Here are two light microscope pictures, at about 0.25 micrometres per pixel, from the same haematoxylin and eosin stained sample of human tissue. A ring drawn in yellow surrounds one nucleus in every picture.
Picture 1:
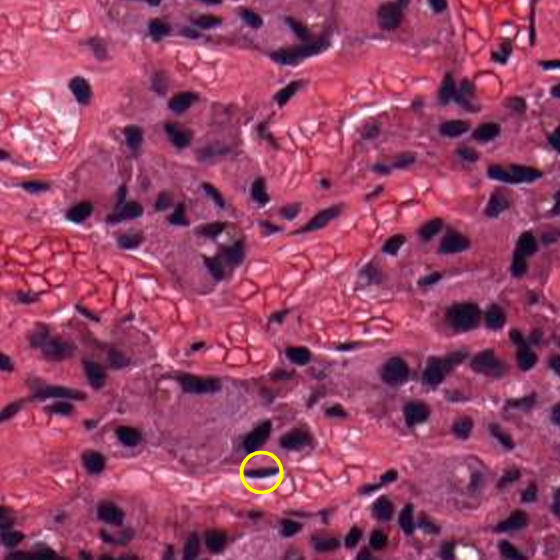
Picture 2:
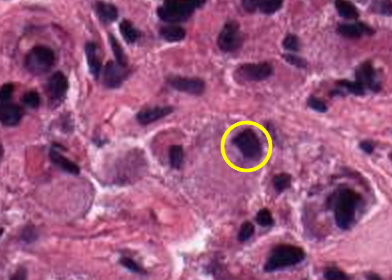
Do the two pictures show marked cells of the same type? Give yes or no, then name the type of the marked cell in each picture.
No, the first is an endothelial cell and the second an anterior pituitary cell.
